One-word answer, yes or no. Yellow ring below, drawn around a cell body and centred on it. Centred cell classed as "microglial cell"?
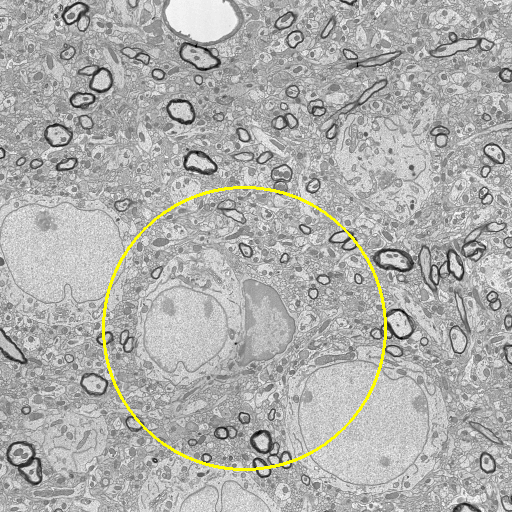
yes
